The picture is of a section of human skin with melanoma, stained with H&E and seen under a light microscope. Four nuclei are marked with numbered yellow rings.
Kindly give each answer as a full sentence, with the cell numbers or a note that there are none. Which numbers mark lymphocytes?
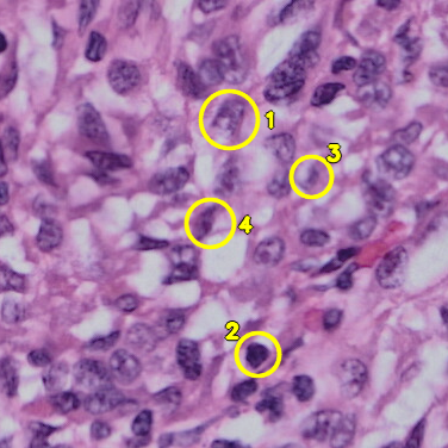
The nucleus numbered 2 is the only one that belongs to a lymphocyte.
